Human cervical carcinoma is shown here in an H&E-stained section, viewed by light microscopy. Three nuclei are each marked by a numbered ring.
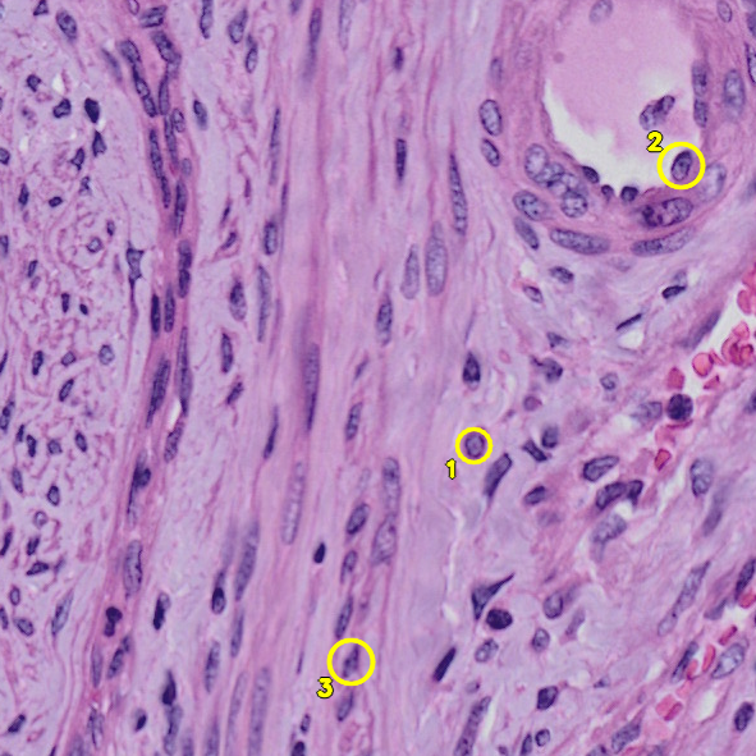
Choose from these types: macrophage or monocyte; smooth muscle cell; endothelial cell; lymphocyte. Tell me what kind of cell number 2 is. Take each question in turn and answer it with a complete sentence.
Within this field of view, the cell labelled 2 is an endothelial cell.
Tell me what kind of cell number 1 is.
At number 1, the marked cell is a smooth muscle cell.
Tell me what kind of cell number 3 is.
Within this field of view, the cell labelled 3 is a smooth muscle cell.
